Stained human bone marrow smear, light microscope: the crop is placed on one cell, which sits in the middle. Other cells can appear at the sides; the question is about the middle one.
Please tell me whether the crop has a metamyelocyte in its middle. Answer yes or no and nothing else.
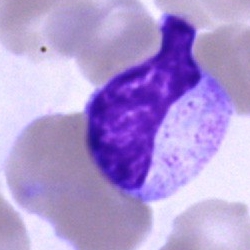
yes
